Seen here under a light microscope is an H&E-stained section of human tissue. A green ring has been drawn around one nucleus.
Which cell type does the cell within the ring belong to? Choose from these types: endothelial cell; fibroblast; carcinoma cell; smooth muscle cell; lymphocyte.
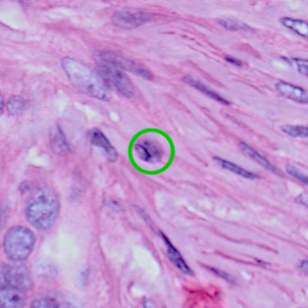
lymphocyte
